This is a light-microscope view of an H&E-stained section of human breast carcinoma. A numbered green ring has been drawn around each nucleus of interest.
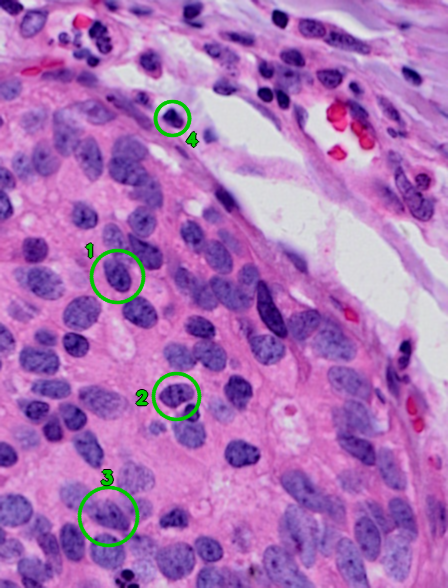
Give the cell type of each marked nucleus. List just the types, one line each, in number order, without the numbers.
carcinoma cell
carcinoma cell
carcinoma cell
lymphocyte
